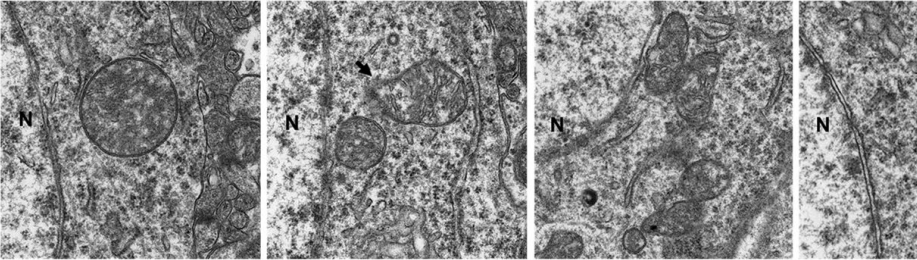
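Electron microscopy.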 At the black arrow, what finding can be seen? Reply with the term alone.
interruptions of continuity of mitochondrial membrane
